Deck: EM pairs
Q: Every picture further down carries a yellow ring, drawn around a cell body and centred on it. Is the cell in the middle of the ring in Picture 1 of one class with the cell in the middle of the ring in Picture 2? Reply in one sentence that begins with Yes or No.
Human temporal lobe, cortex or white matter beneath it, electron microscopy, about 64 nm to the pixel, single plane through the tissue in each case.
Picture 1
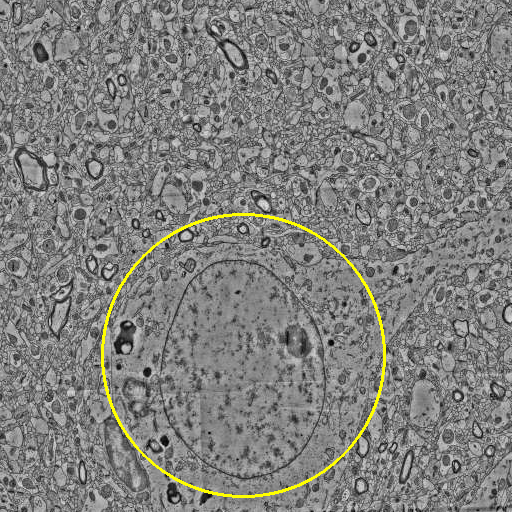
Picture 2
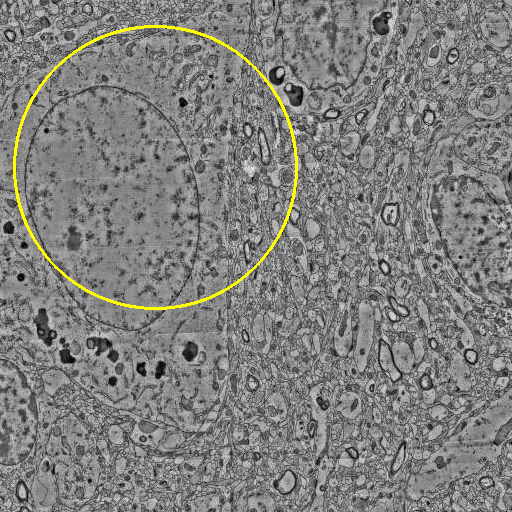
Yes, the cell centred in the ring of Picture 1 and the one in Picture 2 belong to one class.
